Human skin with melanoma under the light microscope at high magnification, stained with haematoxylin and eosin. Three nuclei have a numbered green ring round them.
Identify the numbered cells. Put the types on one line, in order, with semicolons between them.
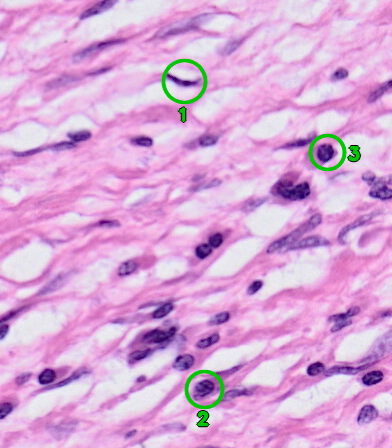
fibroblast or myofibroblast; plasma cell; plasma cell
